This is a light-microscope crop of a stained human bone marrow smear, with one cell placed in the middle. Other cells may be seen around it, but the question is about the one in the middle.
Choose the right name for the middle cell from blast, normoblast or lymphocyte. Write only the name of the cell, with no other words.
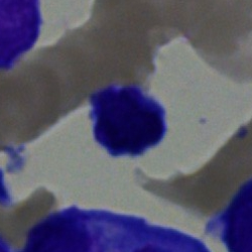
lymphocyte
